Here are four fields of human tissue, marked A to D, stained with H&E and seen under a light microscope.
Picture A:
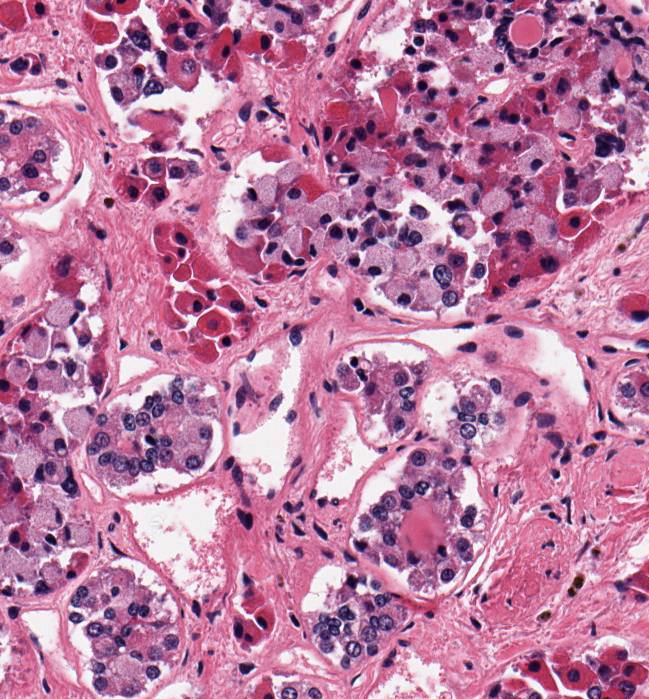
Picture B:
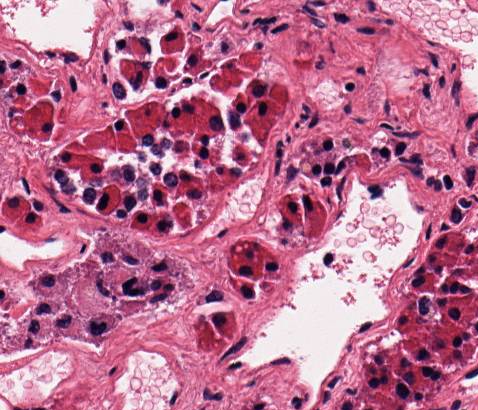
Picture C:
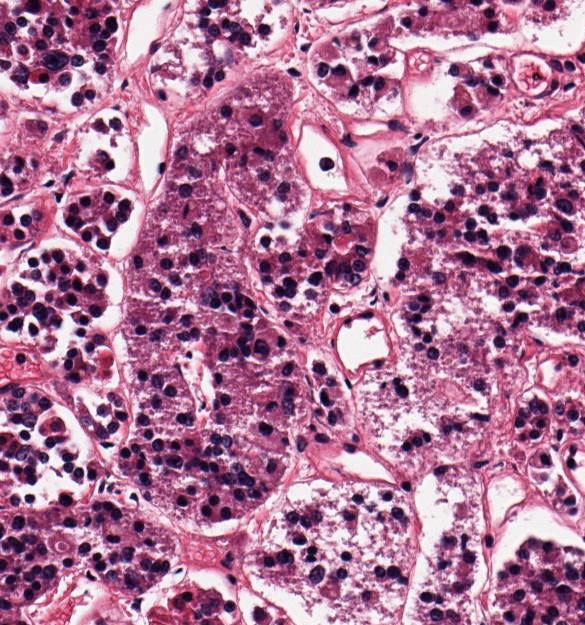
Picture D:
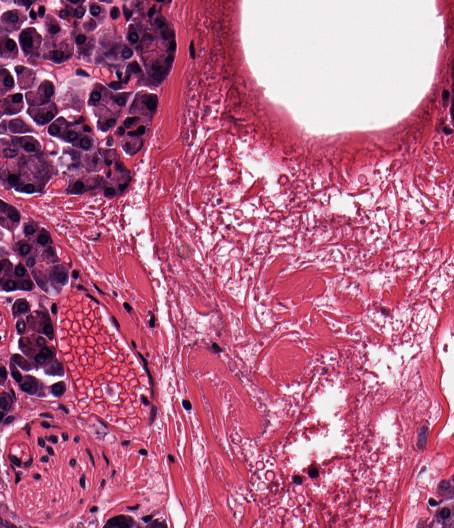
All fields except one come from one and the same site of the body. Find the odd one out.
D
